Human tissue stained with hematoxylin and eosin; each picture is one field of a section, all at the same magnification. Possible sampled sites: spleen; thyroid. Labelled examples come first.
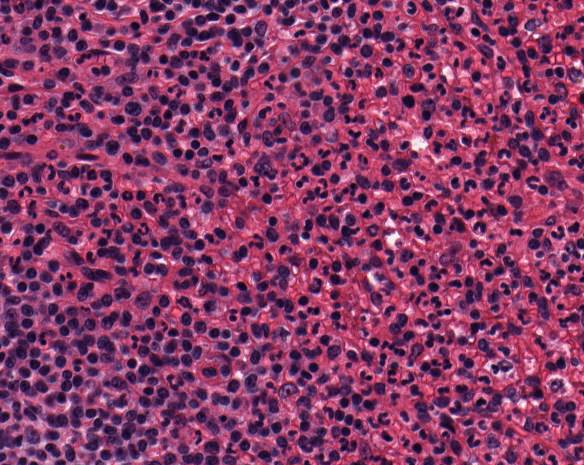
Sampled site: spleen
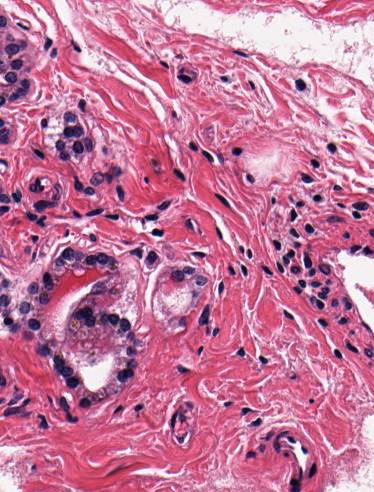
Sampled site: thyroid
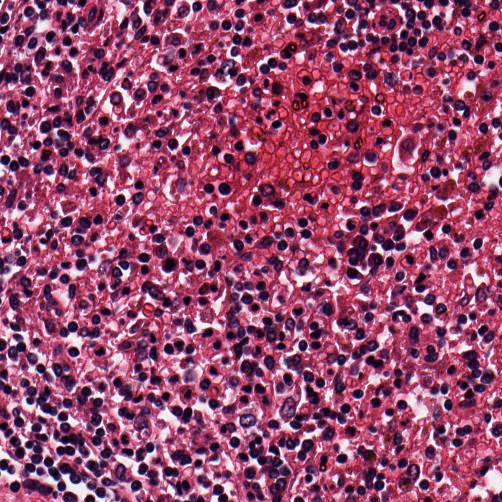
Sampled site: spleen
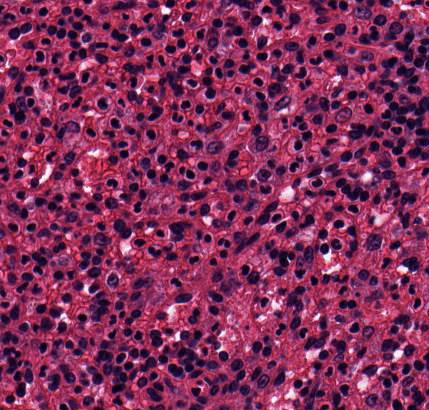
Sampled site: spleen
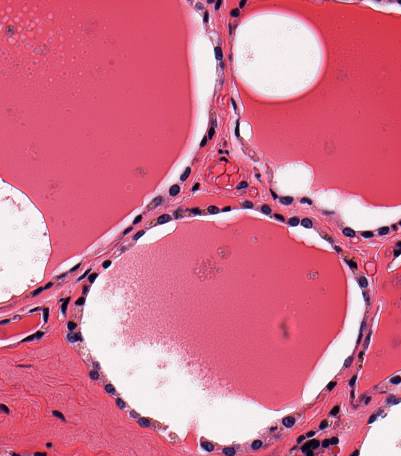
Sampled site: thyroid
